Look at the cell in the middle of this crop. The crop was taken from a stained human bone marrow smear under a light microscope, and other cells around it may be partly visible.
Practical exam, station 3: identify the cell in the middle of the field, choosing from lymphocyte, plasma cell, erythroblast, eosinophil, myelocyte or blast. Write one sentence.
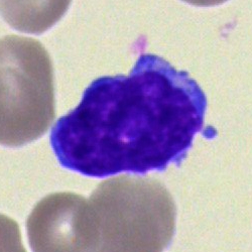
In the middle of this smear crop, the cell is a blast.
